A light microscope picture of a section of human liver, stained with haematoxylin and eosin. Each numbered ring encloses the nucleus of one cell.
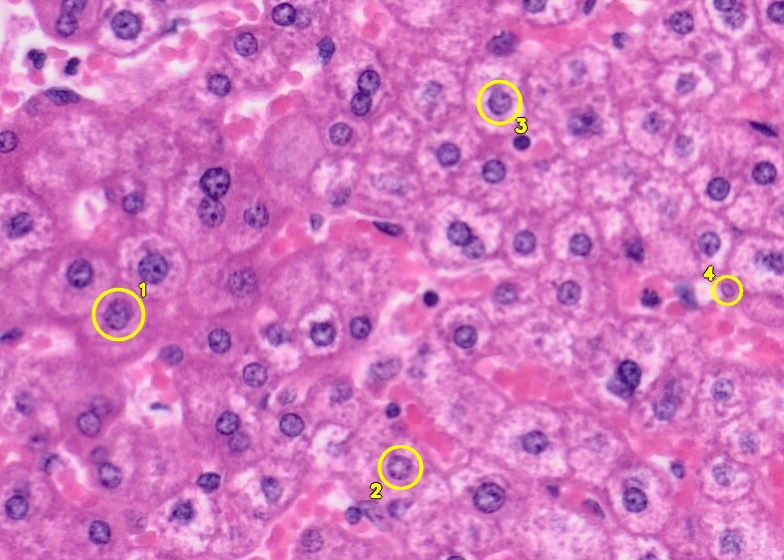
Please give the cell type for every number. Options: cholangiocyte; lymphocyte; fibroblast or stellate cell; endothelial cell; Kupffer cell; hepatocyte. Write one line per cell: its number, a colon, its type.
1: hepatocyte
2: hepatocyte
3: hepatocyte
4: Kupffer cell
